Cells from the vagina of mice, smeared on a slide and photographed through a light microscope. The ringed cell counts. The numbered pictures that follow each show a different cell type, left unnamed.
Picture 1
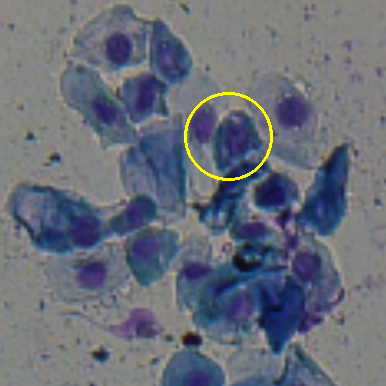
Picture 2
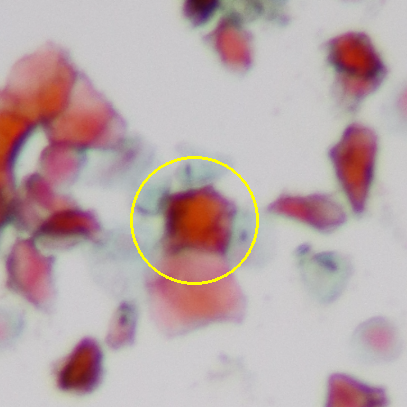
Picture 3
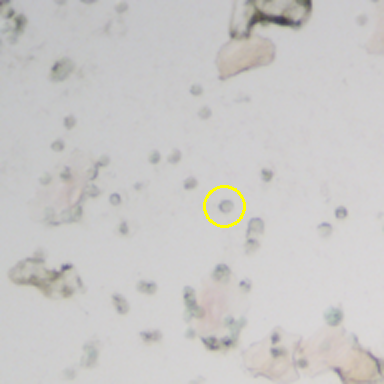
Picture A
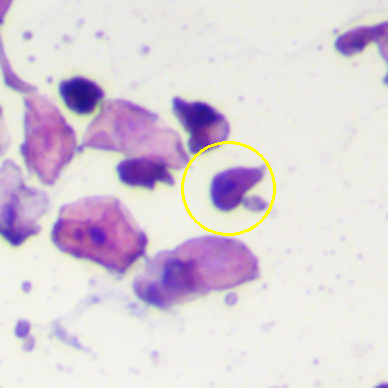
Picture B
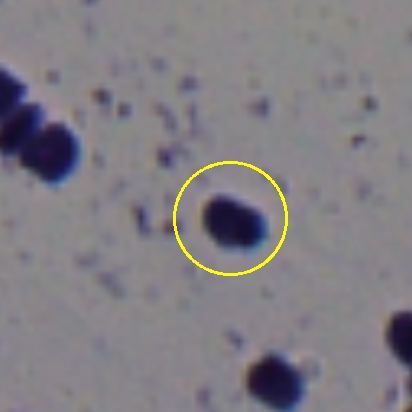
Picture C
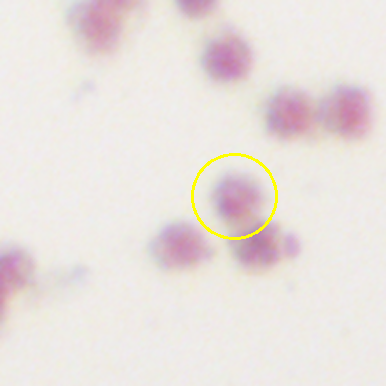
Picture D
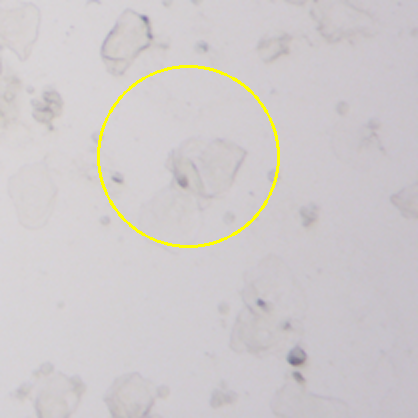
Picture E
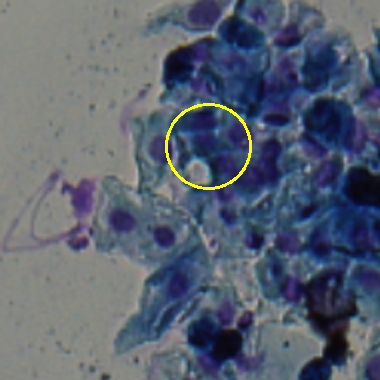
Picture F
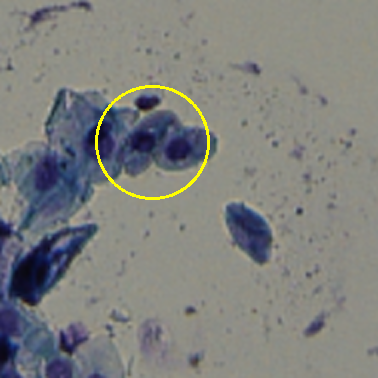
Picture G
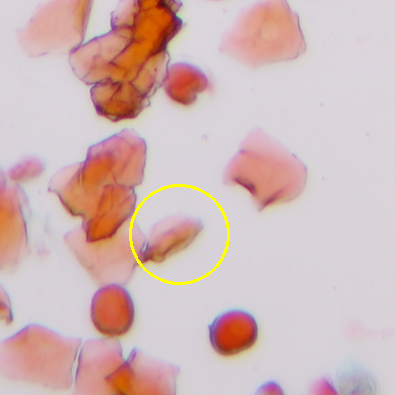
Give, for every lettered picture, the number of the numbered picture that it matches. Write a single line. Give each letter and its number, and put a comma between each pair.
A 1, B 3, C 3, D 2, E 1, F 1, G 2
